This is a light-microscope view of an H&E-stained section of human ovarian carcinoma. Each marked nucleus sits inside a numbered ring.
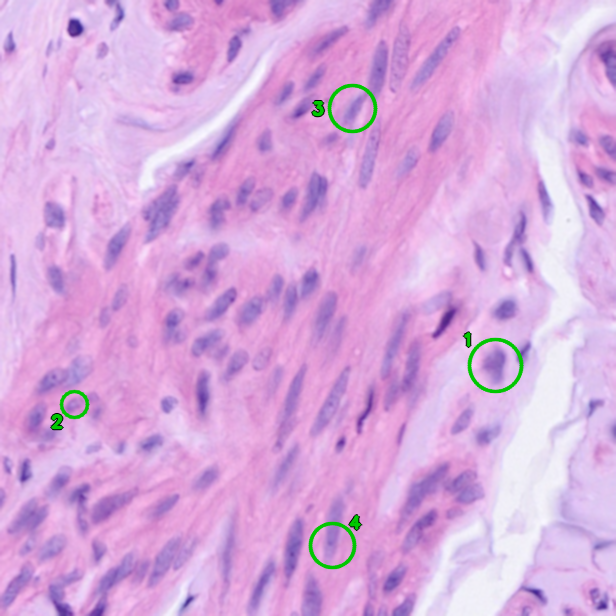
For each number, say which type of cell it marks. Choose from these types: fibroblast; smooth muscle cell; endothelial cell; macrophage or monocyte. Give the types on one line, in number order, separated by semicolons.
fibroblast; smooth muscle cell; smooth muscle cell; smooth muscle cell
